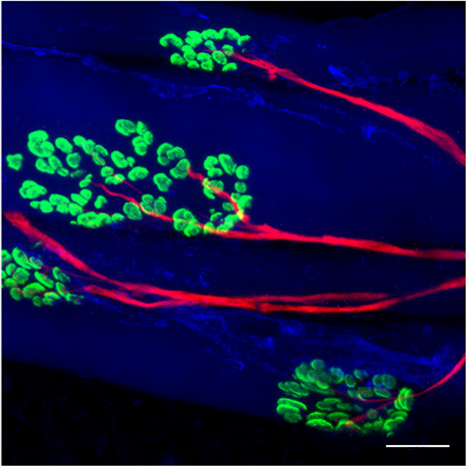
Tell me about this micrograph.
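This whole-mount view shows skeletal muscle fibers carrying several neuromuscular junctions. The fibers are long blue bands lying roughly parallel to one another. Long red nerve fibers run alongside the muscle fibers and send branches that end within the green clusters. Each green cluster is reached by red nerve fibers.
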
